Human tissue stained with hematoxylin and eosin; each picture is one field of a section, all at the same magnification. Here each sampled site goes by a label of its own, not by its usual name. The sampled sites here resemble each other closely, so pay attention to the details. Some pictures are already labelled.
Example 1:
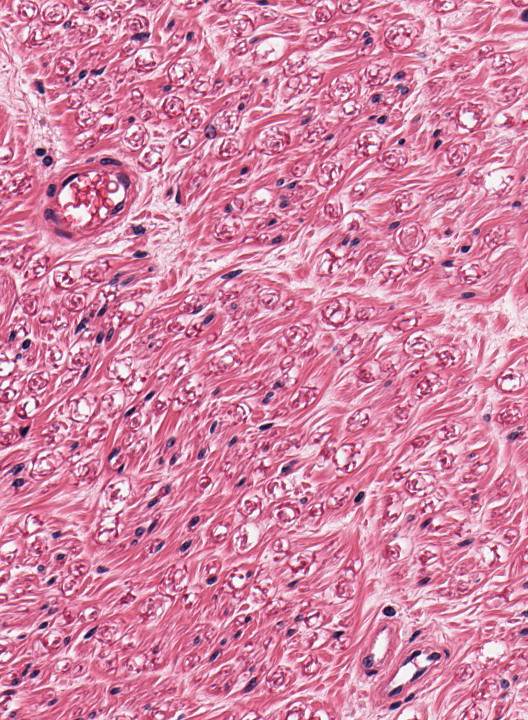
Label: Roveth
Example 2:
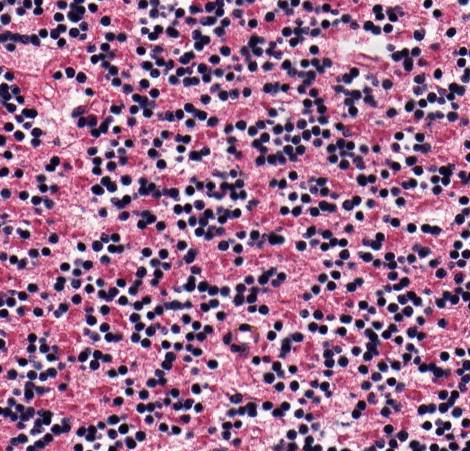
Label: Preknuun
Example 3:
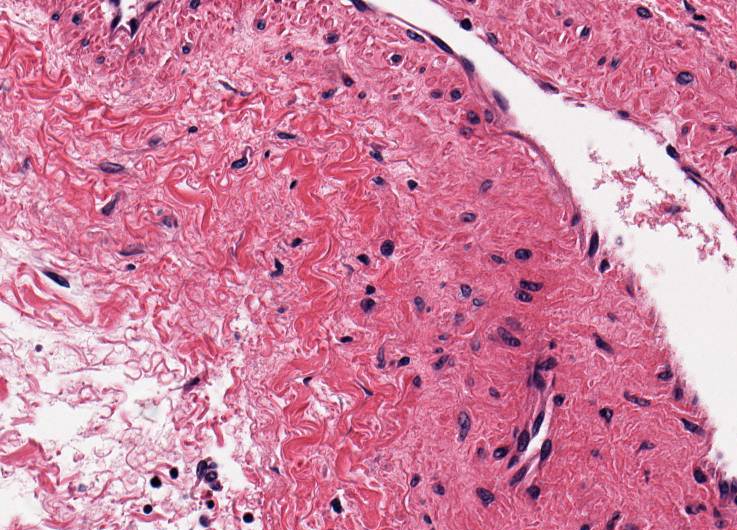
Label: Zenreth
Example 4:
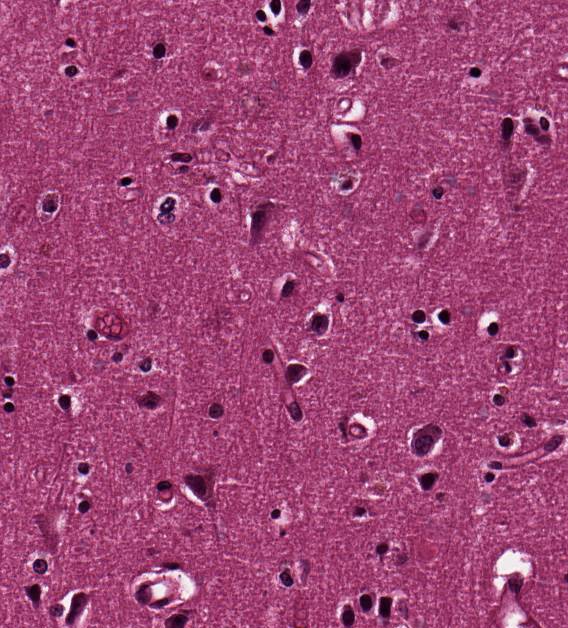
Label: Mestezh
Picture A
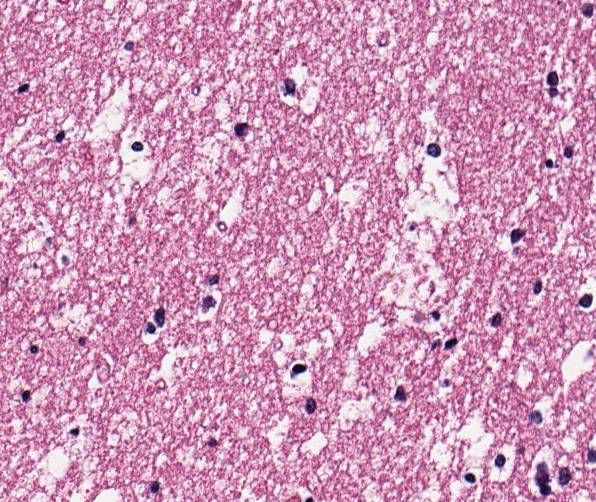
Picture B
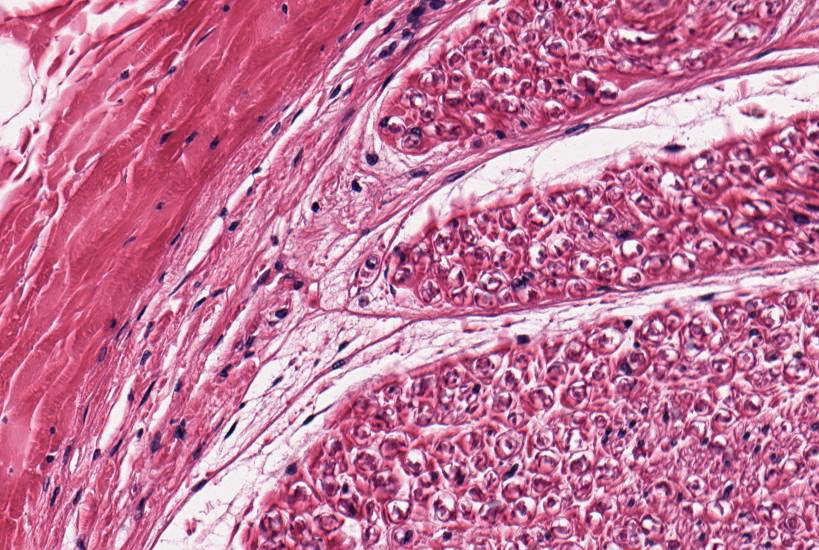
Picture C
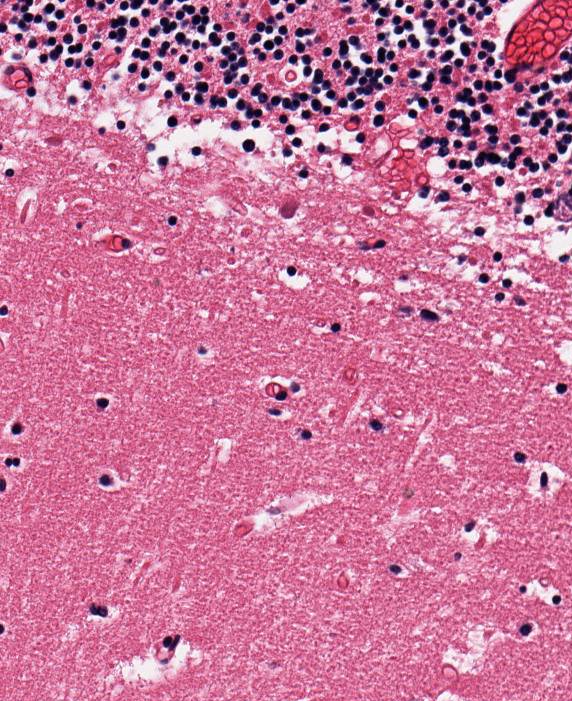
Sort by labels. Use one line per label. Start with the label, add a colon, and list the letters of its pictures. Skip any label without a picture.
Roveth: B
Preknuun: C
Mestezh: A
